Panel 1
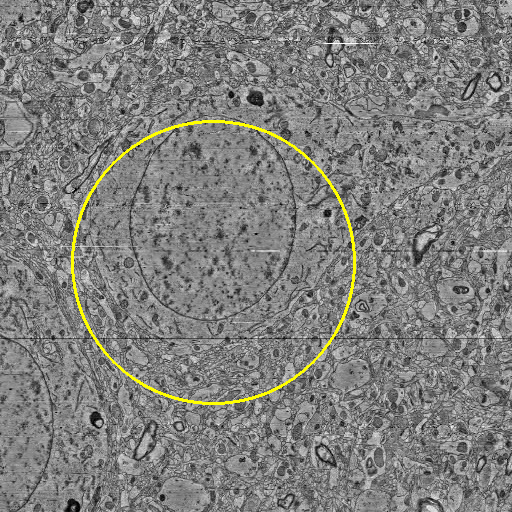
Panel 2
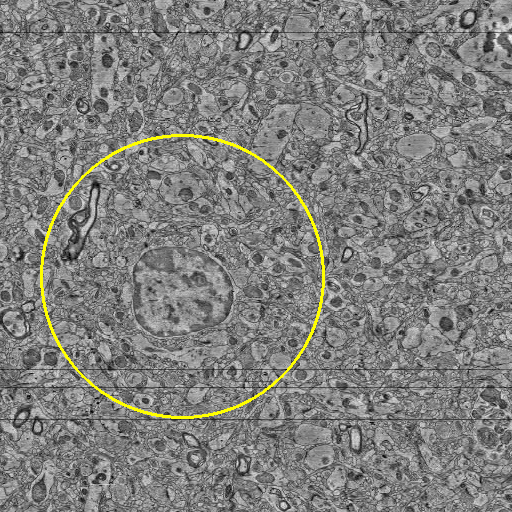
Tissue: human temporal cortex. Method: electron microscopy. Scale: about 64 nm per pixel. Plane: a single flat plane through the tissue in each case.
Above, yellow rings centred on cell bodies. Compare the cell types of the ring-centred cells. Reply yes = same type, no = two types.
no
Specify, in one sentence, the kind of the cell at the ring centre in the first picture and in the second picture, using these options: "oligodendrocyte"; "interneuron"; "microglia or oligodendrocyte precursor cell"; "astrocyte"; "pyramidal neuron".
So the first is a pyramidal neuron, the second a microglial cell or oligodendrocyte precursor cell.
